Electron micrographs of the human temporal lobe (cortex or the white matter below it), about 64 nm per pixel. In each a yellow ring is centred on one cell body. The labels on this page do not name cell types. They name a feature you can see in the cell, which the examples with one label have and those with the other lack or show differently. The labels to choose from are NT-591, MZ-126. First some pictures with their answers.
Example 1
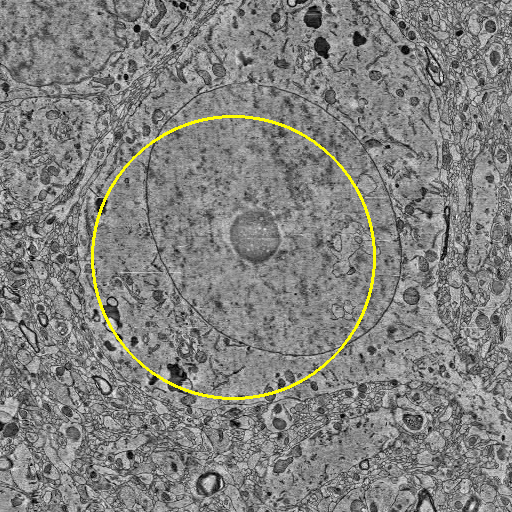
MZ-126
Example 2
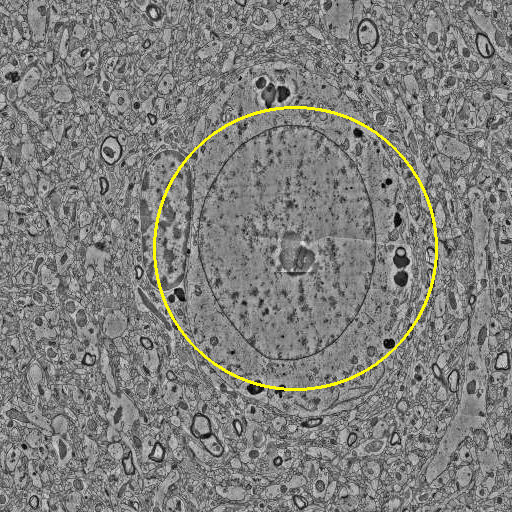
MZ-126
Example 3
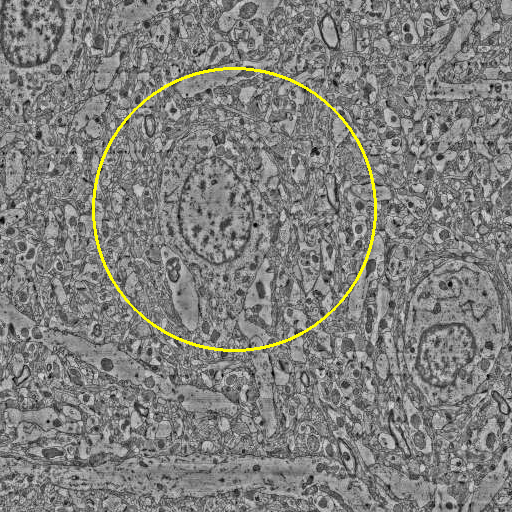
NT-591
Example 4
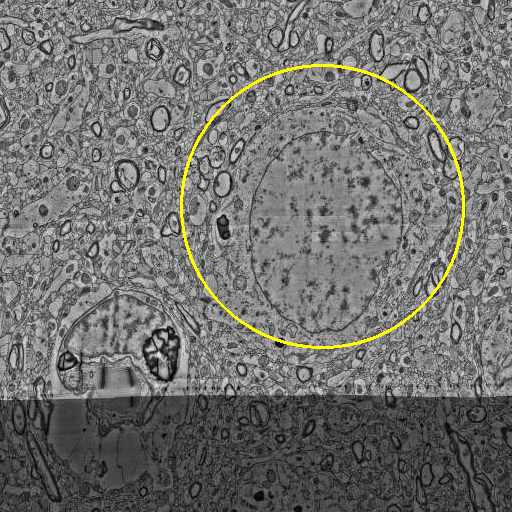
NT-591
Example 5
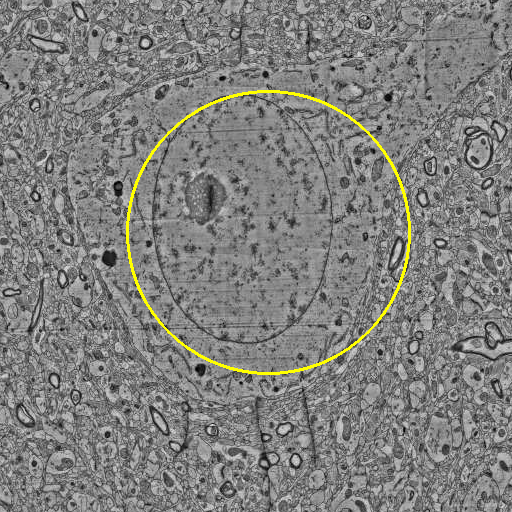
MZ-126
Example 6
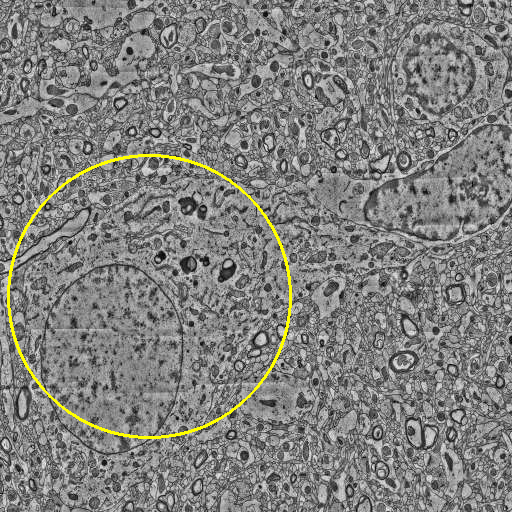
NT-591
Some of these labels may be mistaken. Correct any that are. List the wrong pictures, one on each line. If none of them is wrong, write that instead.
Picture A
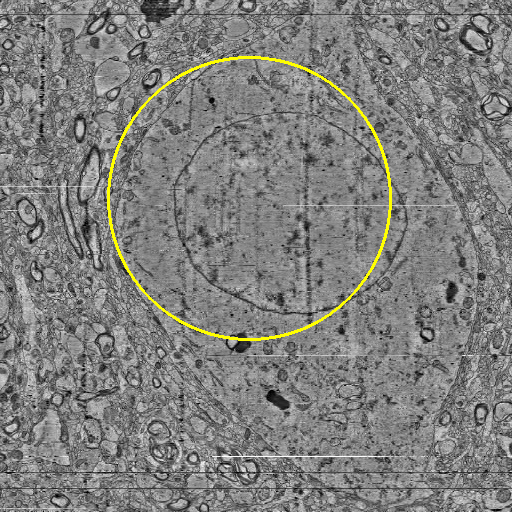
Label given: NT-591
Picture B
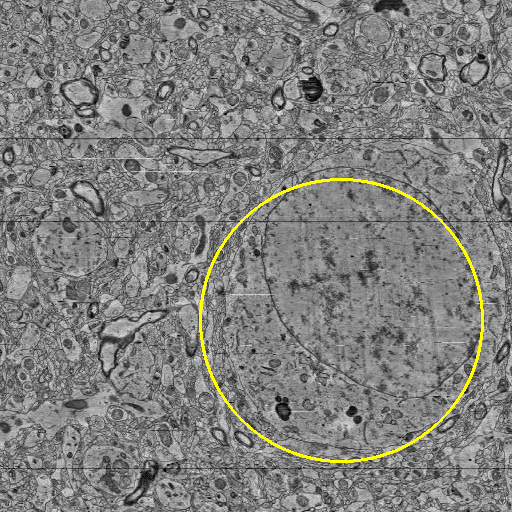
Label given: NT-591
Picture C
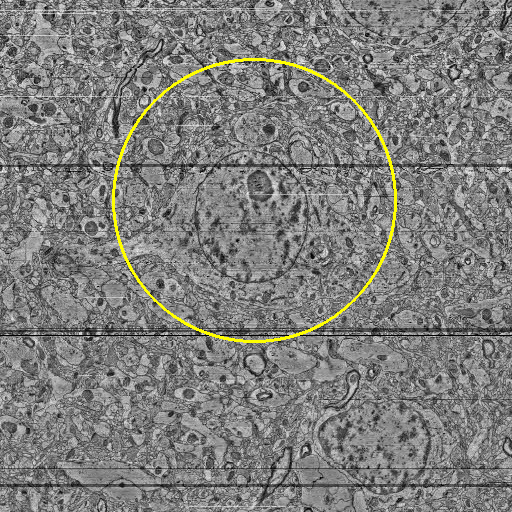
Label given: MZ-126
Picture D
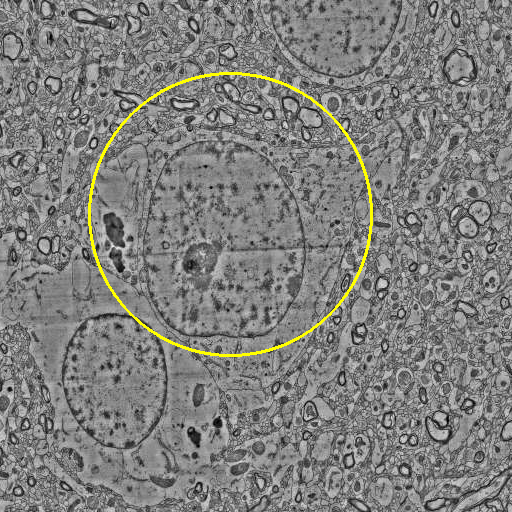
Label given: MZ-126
No label is wrong.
